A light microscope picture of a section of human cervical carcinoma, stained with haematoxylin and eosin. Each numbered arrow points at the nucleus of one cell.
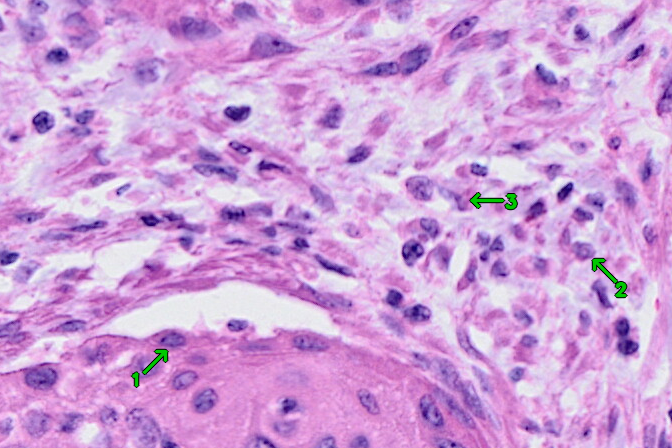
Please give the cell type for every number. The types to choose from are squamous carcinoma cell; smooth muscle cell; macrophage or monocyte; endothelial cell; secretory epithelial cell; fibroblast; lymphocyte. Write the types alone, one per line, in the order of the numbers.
squamous carcinoma cell
fibroblast
fibroblast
